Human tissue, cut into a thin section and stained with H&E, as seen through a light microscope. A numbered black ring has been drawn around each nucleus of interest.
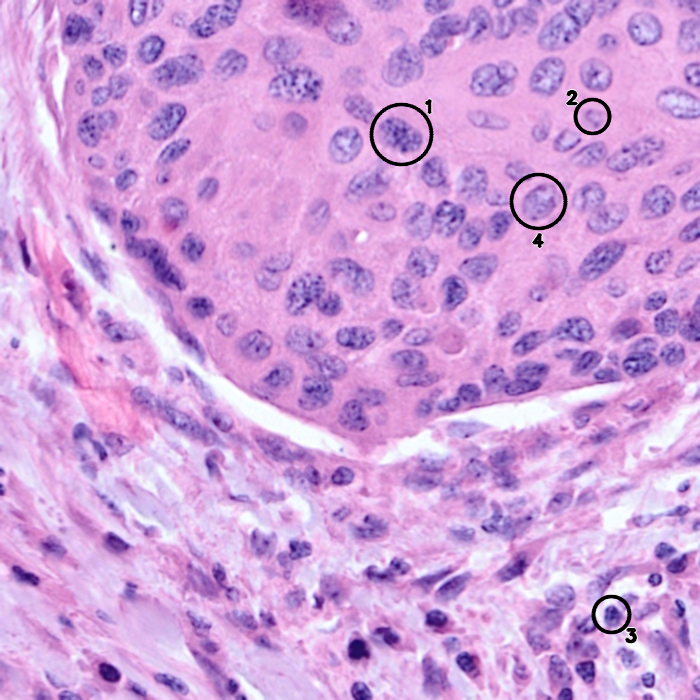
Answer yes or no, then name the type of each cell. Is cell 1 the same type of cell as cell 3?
No, cell 1 is a squamous carcinoma cell and cell 3 is a lymphocyte.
